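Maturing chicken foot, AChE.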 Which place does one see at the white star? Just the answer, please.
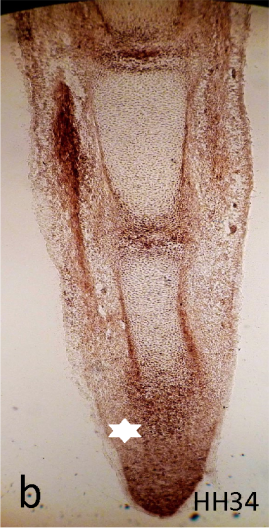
Distal tip of digits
